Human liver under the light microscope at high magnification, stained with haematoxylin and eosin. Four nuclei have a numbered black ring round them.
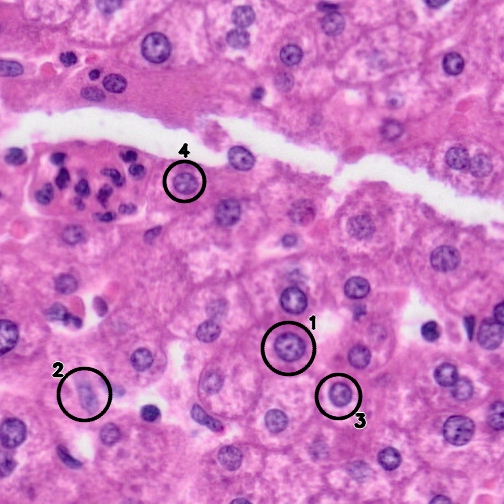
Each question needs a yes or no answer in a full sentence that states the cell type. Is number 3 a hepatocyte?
Yes, it is a hepatocyte that carries the number 3.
